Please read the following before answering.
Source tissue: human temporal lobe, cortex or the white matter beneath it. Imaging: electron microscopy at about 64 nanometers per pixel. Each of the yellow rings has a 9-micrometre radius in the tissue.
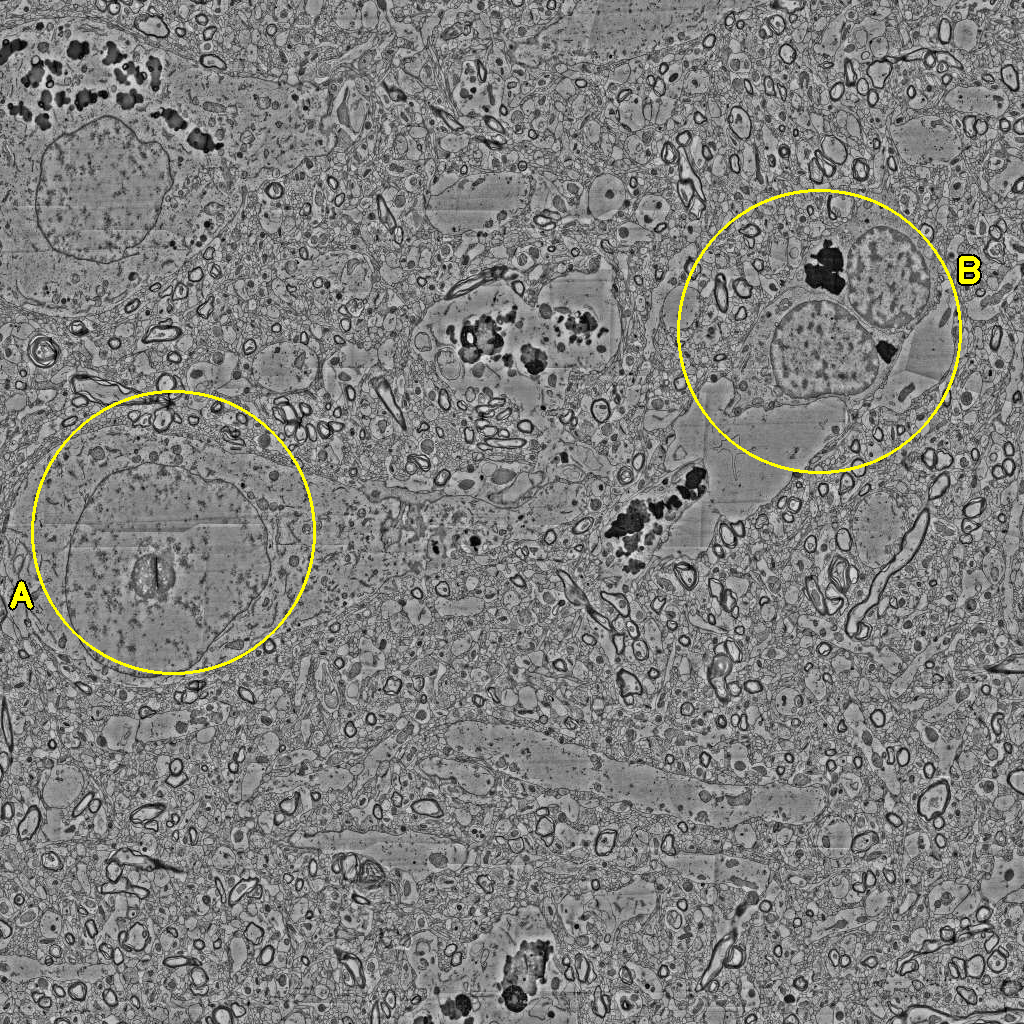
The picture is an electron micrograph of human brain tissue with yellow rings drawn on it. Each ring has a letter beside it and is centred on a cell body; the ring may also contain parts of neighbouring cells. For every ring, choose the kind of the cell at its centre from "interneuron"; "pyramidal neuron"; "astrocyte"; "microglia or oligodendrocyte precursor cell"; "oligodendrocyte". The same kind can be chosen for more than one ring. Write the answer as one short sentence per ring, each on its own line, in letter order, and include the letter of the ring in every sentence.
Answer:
The kind of cell at the centre of ring A is a pyramidal neuron.
The kind of cell at the centre of ring B is an oligodendrocyte.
